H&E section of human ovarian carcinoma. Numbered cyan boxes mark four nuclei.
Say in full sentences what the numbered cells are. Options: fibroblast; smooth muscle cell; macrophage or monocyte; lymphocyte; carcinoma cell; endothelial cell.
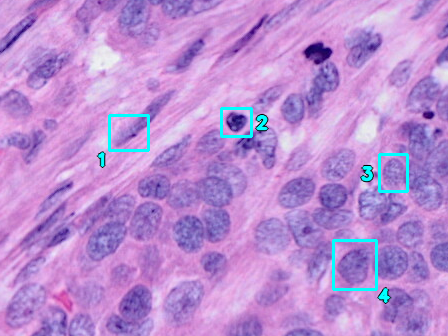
Cell 1 is a fibroblast. Cell 2 is a lymphocyte. Cells 3 and 4 are carcinoma cells.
